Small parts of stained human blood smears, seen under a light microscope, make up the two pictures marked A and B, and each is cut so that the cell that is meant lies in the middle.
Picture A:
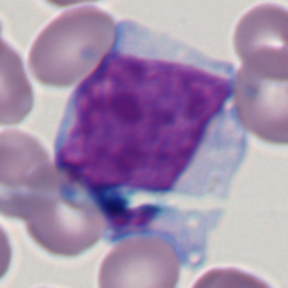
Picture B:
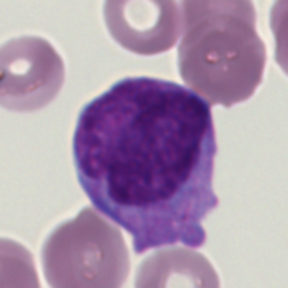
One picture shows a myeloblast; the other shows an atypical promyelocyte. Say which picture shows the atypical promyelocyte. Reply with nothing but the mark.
B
